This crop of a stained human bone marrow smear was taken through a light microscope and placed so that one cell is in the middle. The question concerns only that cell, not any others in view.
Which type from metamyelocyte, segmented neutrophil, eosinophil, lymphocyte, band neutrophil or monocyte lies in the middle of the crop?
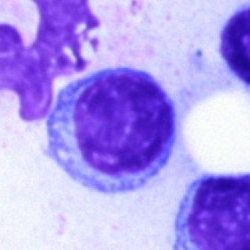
lymphocyte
